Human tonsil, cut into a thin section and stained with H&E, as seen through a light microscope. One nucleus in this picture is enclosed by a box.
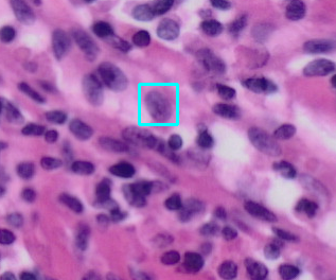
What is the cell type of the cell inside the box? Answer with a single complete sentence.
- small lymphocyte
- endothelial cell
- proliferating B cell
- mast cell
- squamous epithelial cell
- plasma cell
As far as its identity is concerned, the cell inside the box is an endothelial cell.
